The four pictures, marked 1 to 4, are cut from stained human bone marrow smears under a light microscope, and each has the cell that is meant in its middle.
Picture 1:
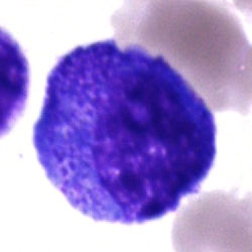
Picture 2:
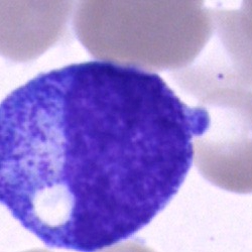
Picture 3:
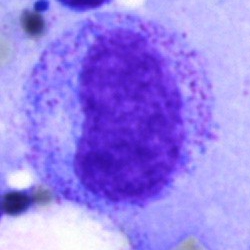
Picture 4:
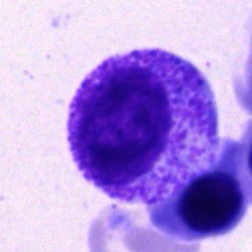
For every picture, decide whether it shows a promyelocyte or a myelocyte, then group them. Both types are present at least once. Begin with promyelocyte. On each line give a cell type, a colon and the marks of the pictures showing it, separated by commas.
promyelocyte: 1, 2
myelocyte: 3, 4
